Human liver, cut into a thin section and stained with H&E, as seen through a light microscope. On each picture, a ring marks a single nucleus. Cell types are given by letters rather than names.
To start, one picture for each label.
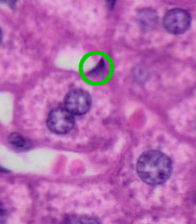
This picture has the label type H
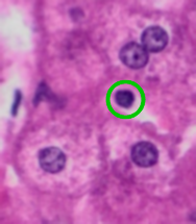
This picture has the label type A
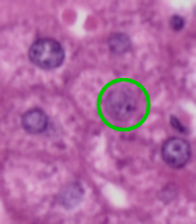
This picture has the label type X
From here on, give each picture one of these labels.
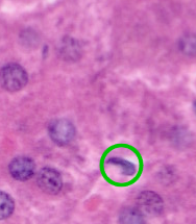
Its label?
type H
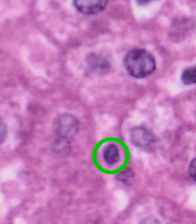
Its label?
type A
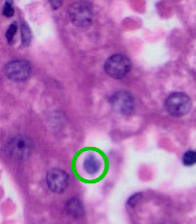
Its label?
type A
